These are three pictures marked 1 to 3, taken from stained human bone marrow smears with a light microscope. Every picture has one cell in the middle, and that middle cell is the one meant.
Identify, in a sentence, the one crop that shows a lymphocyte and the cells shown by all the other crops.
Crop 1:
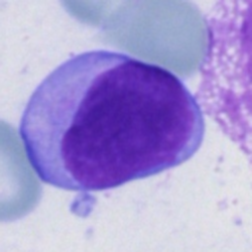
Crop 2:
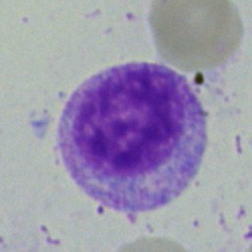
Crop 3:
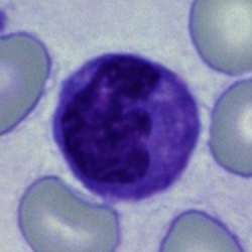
In the case of crop 1, the cell is a lymphocyte, while crop 2 is a myelocyte and crop 3 is a monocyte.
